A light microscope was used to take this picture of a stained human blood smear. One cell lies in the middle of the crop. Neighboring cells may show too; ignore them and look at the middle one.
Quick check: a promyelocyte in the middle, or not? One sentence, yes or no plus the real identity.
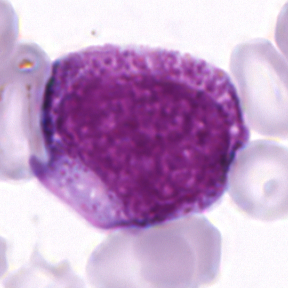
Yes, the middle cell in this crop is a promyelocyte.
